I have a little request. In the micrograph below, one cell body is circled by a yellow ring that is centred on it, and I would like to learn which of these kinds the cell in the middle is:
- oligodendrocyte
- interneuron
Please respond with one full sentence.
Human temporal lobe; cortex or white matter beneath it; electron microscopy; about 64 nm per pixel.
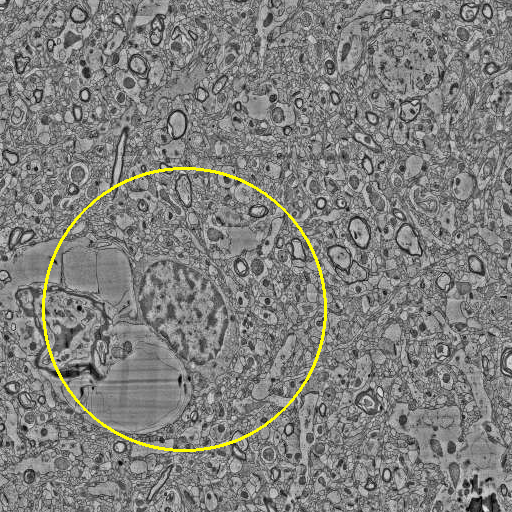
The cell sitting in the middle of the yellow ring in the micrograph is an oligodendrocyte.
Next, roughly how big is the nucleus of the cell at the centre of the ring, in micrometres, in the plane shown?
About 7 by 5 micrometers, in this plane.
